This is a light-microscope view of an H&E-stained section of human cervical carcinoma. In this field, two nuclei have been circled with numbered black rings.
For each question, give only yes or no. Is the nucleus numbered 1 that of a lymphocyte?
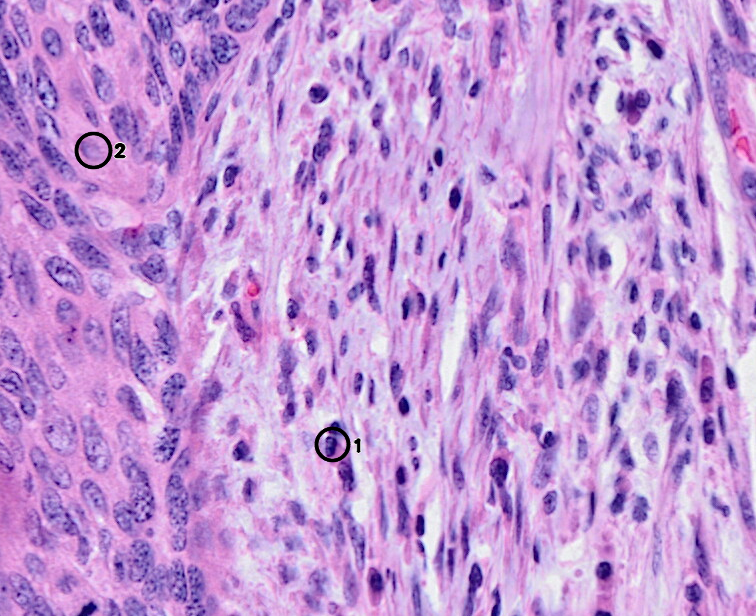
yes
